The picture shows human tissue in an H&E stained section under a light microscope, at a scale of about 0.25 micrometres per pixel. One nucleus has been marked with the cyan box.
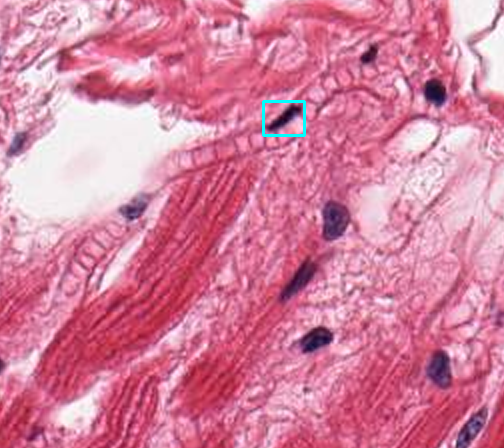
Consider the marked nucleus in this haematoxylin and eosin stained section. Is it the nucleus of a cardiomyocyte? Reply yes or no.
no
